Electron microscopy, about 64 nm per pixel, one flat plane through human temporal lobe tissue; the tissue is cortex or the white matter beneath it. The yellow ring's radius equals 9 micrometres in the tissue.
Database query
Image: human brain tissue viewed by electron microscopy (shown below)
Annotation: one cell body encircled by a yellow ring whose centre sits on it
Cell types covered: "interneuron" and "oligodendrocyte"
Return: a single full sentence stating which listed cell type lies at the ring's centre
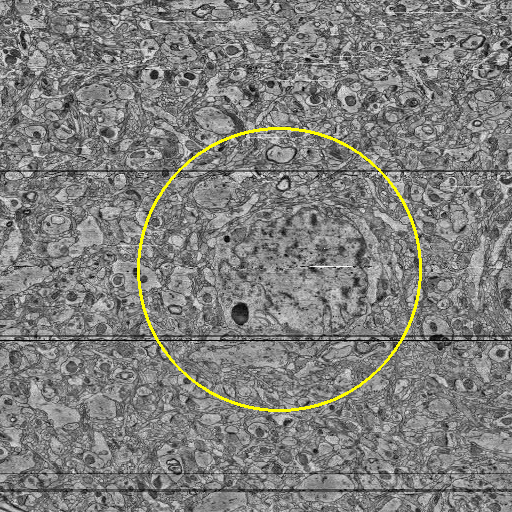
In the image, the cell lying at the ring's centre is an interneuron.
